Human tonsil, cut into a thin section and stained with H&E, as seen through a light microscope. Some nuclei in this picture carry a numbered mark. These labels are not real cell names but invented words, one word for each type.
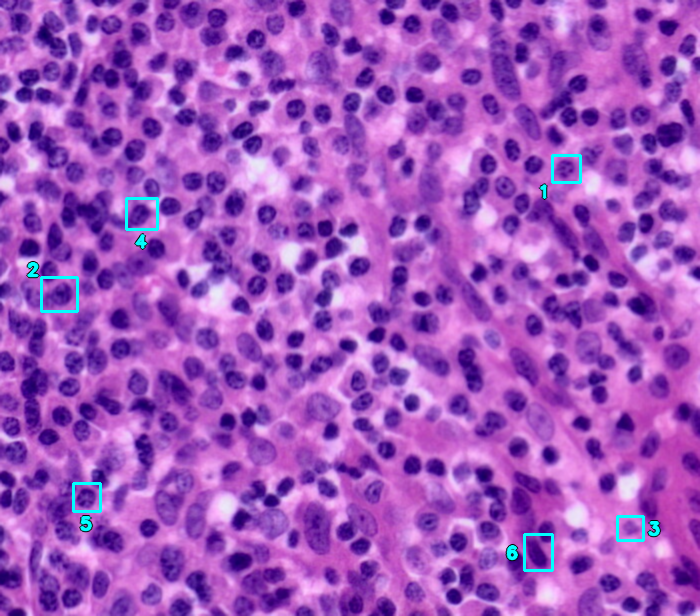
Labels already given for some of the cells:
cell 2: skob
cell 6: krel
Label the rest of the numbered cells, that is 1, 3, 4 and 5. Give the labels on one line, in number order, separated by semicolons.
skob; krel; skob; skob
